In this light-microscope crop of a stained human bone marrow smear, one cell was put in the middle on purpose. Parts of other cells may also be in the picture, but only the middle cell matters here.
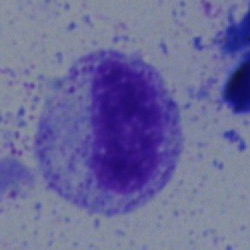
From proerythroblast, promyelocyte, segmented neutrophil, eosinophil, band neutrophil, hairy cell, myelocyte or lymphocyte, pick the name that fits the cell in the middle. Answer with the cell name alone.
myelocyte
